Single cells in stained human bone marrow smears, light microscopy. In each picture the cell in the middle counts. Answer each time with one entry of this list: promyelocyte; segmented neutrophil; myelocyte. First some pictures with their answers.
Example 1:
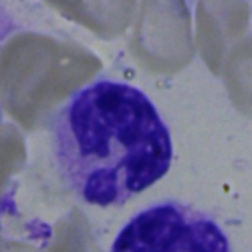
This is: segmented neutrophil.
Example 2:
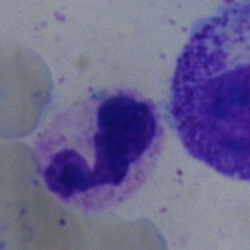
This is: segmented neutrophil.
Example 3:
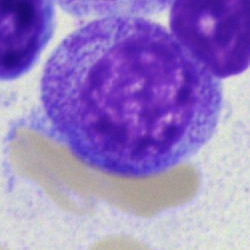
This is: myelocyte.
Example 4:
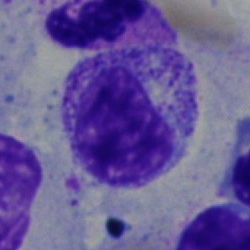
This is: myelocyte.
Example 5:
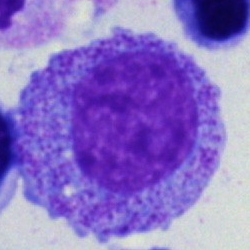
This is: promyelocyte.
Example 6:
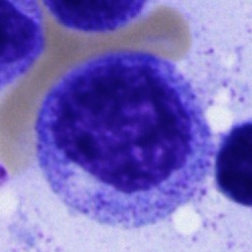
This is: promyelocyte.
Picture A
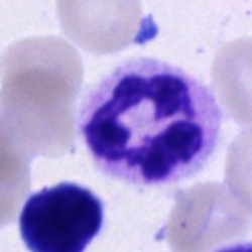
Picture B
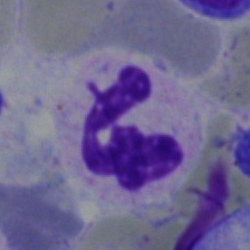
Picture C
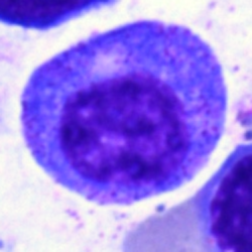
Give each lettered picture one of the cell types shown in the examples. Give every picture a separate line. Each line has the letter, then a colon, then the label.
A: segmented neutrophil.
B: segmented neutrophil.
C: promyelocyte.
